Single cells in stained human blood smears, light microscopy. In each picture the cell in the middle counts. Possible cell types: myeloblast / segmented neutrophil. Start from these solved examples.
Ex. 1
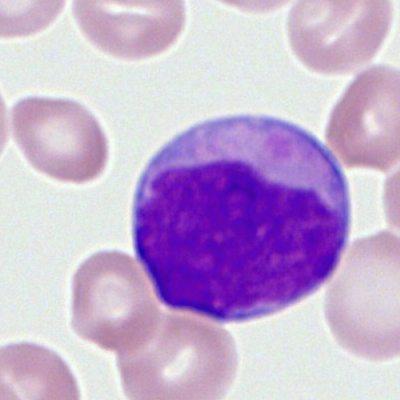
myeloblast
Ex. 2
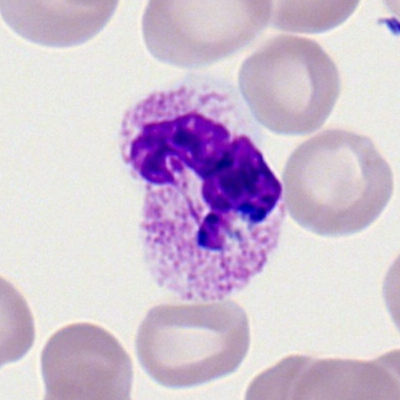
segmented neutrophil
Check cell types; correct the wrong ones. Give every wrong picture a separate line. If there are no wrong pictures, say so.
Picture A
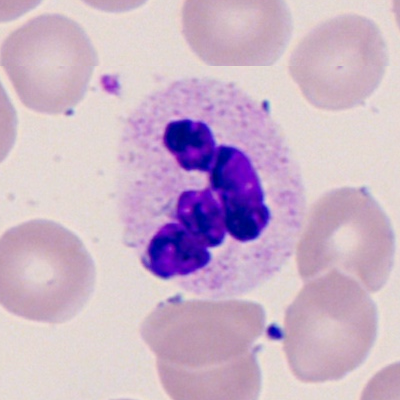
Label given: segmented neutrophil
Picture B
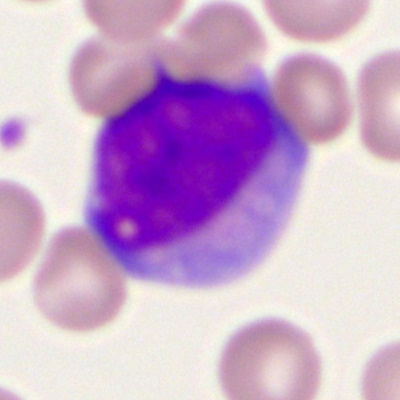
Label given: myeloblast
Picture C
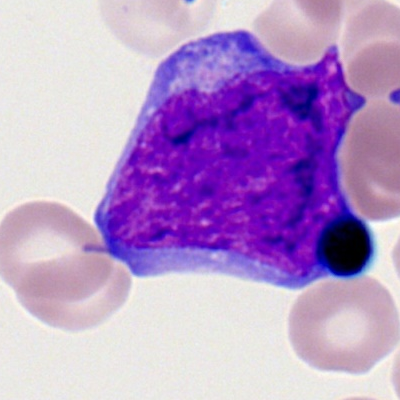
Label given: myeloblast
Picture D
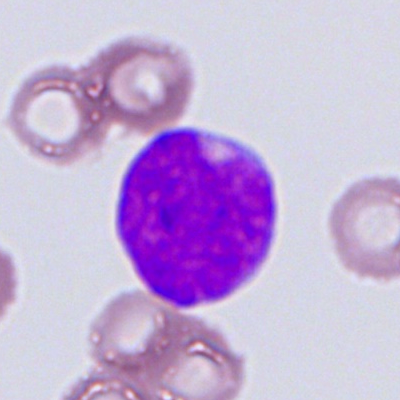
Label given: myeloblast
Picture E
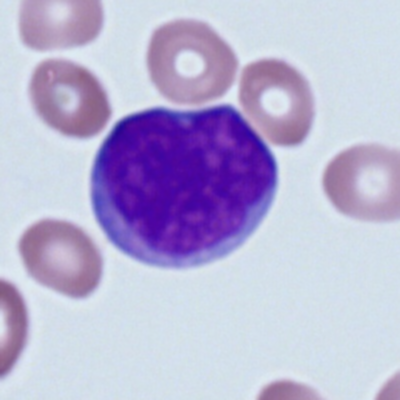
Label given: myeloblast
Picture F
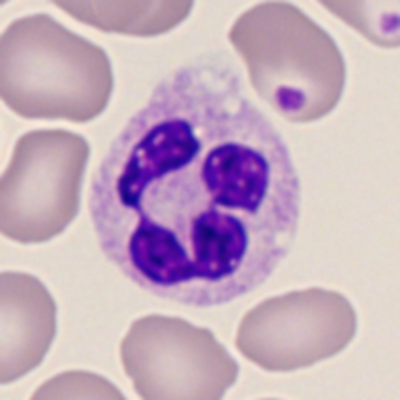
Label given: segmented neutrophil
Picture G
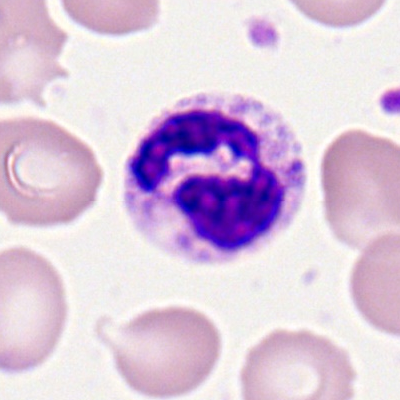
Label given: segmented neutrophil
Every label is right.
